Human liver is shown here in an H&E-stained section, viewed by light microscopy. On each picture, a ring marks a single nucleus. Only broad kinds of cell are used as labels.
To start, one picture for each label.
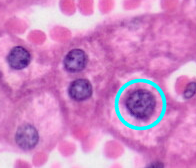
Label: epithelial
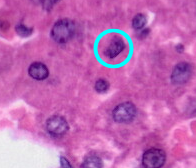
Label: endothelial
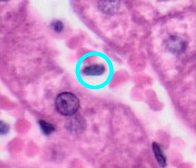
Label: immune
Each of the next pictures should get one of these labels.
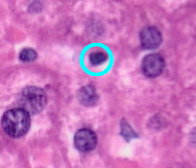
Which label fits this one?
immune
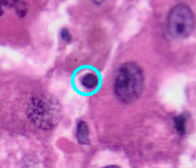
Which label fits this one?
immune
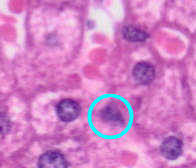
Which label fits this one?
endothelial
